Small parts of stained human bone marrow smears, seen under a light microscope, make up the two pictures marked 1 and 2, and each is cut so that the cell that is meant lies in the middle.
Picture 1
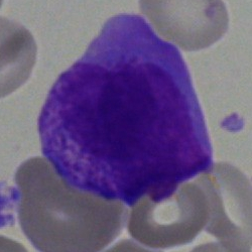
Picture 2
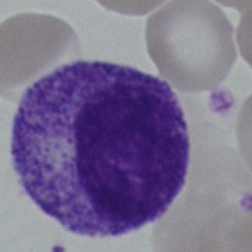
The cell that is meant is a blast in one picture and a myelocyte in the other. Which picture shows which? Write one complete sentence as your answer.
Picture 1 is of a blast, and picture 2 is of a myelocyte.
